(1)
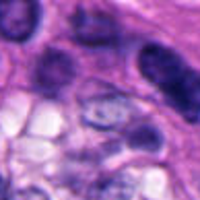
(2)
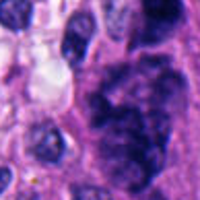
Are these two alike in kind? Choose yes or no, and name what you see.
No. First a cytotrophoblast, second a syncytial knot.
